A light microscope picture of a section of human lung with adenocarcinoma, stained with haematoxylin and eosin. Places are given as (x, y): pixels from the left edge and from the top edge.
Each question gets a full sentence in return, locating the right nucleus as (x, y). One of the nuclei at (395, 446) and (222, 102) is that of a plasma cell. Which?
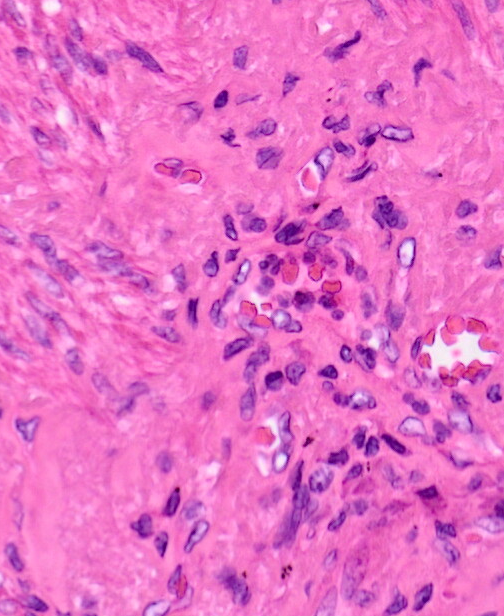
The nucleus at (395, 446) is part of a plasma cell, while the other is not.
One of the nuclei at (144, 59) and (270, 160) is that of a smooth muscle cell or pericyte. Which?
The nucleus at (144, 59) is the member of the pair belonging to a smooth muscle cell or pericyte.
